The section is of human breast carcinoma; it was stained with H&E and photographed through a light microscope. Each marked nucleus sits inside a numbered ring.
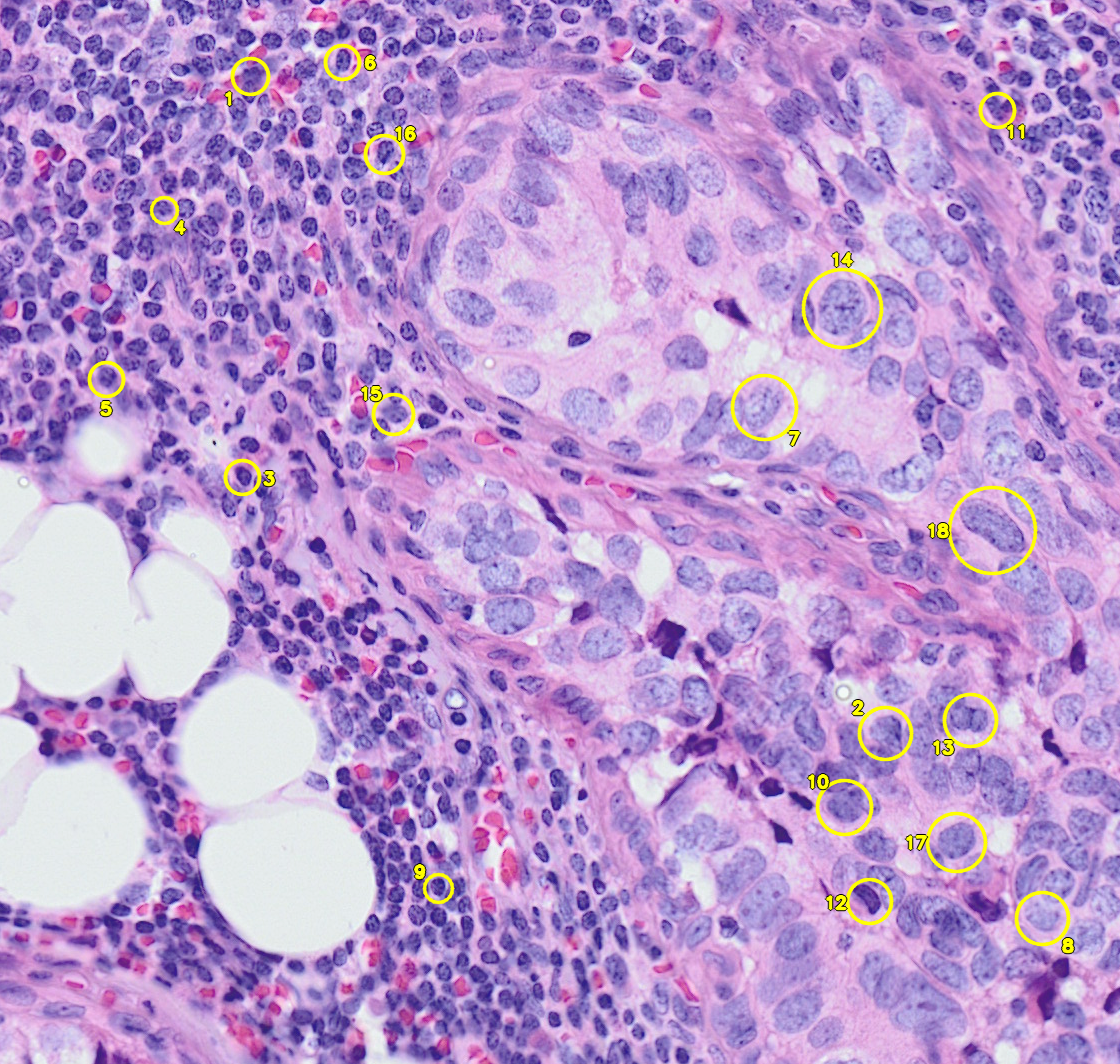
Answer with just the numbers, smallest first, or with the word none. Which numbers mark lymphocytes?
1, 3, 4, 5, 6, 9, 11, 15, 16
